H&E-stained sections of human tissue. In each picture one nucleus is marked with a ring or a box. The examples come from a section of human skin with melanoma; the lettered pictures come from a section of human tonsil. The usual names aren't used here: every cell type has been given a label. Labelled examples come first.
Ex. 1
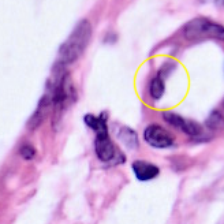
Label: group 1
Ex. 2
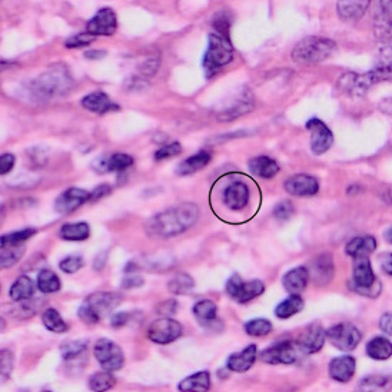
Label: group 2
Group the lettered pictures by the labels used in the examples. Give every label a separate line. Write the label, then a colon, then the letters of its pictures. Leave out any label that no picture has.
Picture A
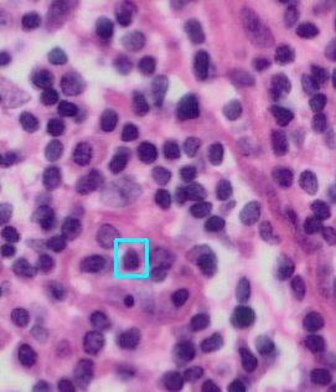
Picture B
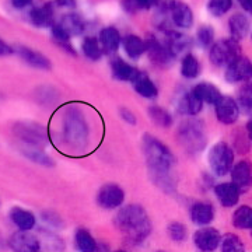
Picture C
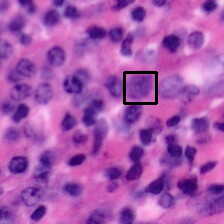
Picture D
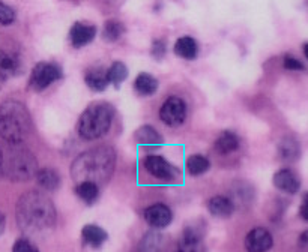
group 1: A, B, C
group 2: D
